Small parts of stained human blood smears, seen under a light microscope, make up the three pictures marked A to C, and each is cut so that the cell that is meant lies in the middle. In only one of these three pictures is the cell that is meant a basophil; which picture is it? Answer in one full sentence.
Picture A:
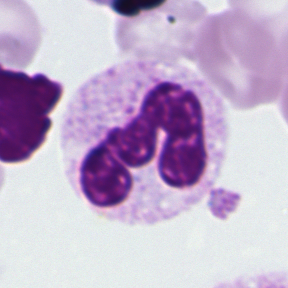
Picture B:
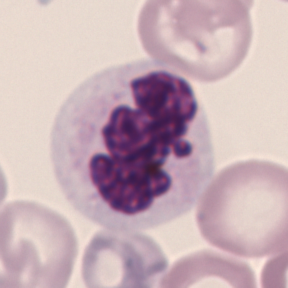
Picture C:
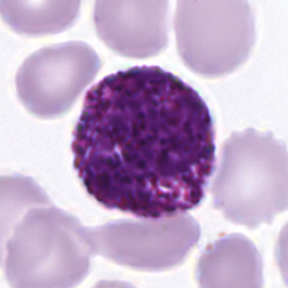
The cell in picture C is the basophil.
